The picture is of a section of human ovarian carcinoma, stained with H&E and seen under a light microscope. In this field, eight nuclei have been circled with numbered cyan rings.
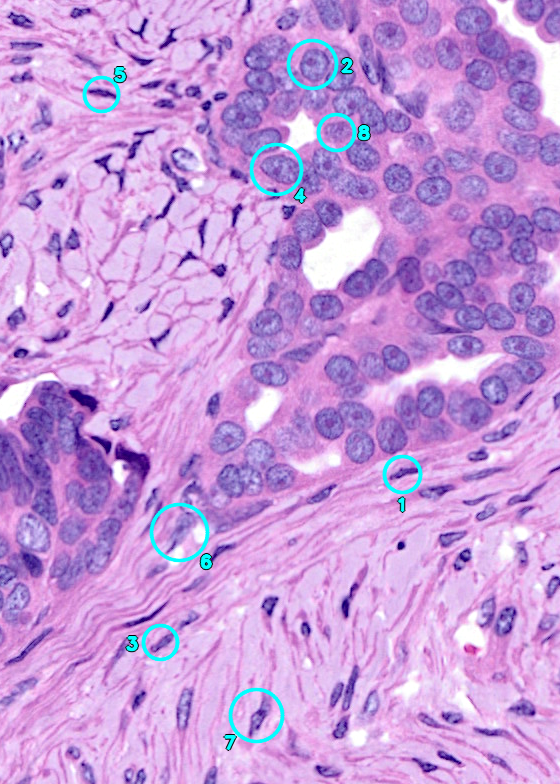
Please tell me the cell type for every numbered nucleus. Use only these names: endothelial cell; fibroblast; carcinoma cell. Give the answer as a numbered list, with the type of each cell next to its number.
1. fibroblast
2. carcinoma cell
3. fibroblast
4. carcinoma cell
5. fibroblast
6. fibroblast
7. fibroblast
8. carcinoma cell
